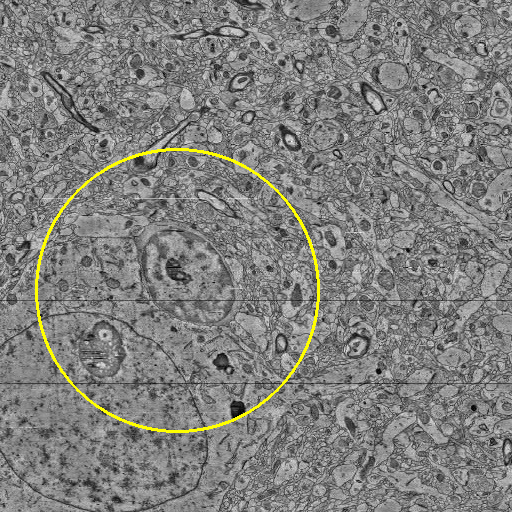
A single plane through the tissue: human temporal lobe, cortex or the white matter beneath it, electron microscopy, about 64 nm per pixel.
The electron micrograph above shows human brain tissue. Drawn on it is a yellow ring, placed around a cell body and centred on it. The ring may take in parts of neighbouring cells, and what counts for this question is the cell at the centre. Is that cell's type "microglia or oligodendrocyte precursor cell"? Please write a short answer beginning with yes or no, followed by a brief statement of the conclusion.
No, its type is another one.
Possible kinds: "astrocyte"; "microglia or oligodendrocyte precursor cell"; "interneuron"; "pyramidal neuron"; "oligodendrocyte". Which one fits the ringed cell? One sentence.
Instead, the cell at the centre of the ring is an oligodendrocyte.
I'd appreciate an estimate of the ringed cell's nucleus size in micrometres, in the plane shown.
The ringed cell's nucleus is about 7 micrometres long and 5 micrometres wide in this plane.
